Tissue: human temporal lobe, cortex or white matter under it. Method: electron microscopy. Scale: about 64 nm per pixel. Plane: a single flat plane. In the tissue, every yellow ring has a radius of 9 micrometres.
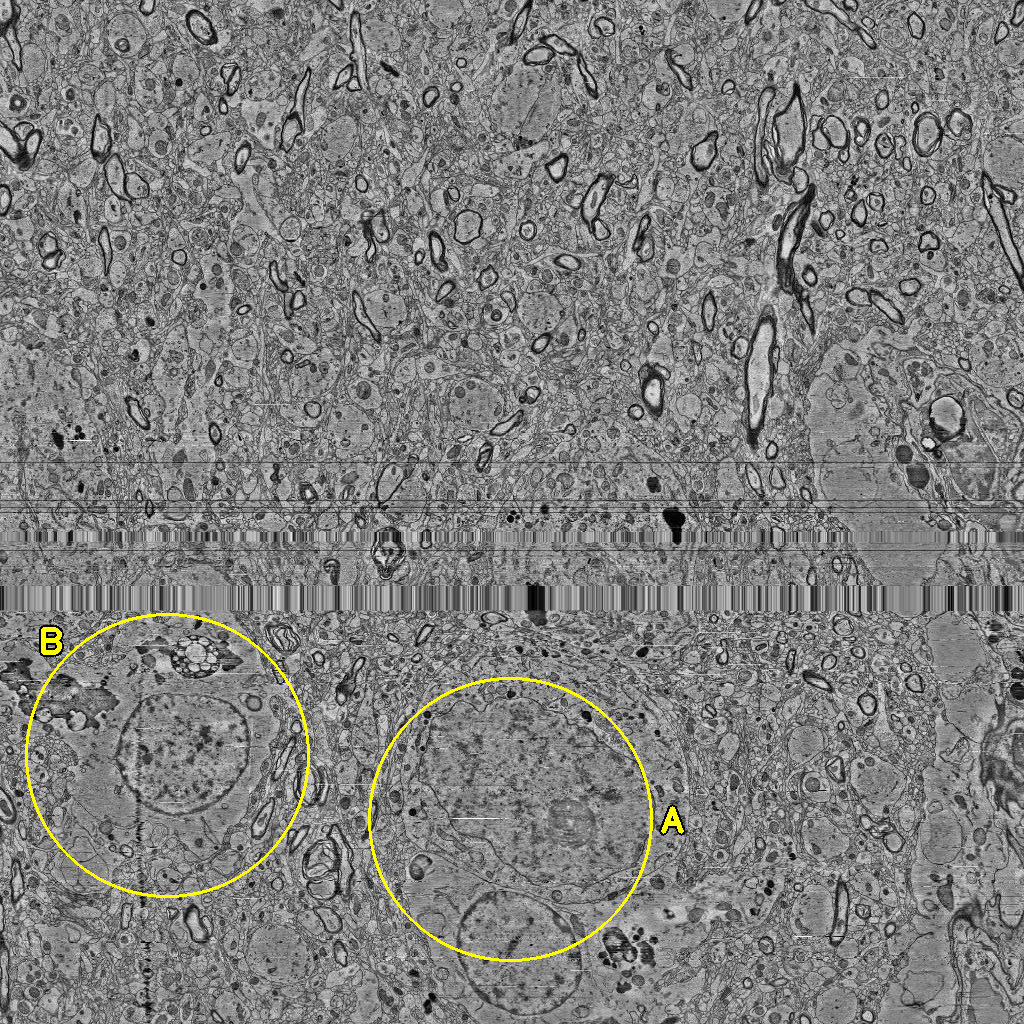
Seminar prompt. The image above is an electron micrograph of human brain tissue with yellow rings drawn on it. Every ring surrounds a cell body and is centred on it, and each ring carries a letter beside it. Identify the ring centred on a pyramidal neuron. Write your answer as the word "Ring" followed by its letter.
Ring A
